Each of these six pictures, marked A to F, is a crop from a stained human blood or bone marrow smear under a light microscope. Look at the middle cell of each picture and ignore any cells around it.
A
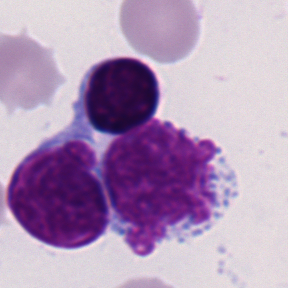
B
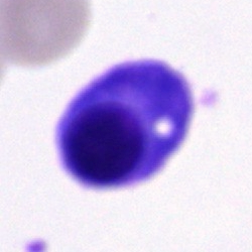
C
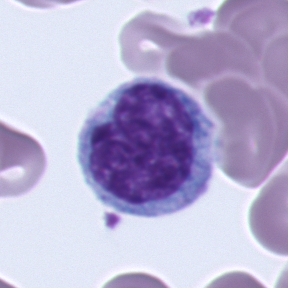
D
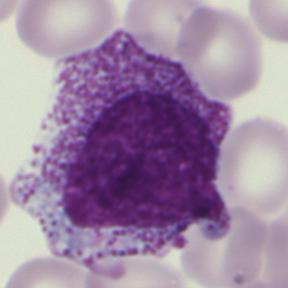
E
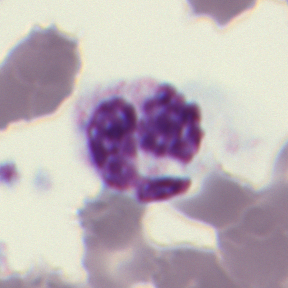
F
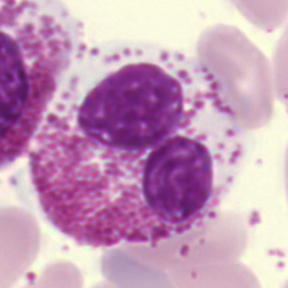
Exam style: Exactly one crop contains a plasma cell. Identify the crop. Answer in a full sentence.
Crop B is the crop that shows a plasma cell in its middle.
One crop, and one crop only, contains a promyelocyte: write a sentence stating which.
It is in crop D that a promyelocyte is shown.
